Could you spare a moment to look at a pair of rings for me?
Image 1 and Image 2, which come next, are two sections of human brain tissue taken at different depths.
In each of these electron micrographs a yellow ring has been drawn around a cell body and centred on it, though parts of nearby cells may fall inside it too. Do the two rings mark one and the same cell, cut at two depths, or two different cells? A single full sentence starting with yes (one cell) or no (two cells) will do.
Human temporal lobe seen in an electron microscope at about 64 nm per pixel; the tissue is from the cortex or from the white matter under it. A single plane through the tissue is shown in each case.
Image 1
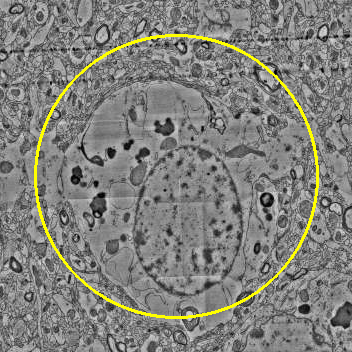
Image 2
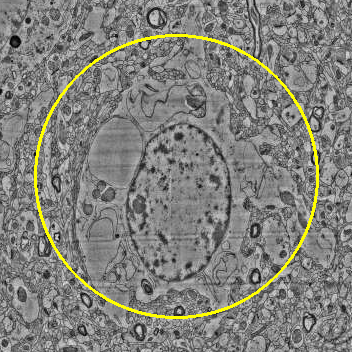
No, the rings single out two cells that are separate from each other.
